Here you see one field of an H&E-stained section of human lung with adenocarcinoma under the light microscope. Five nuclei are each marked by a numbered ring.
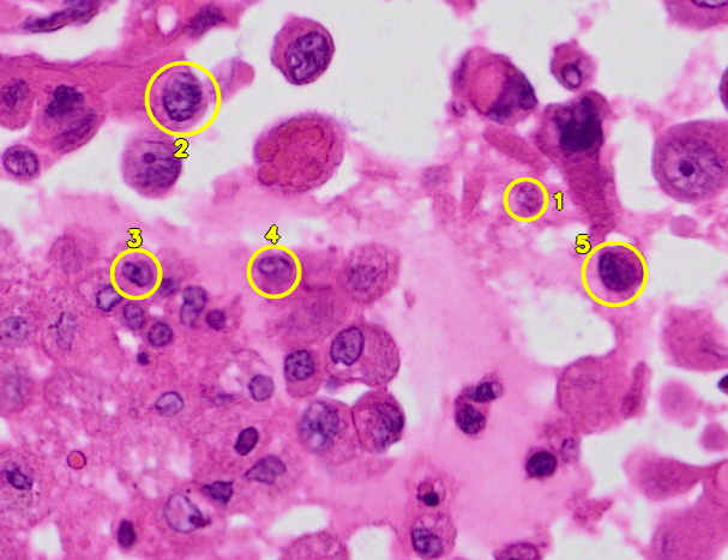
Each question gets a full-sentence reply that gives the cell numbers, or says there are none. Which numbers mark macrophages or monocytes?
The cells with labels 1, 3 and 4 are macrophages or monocytes.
